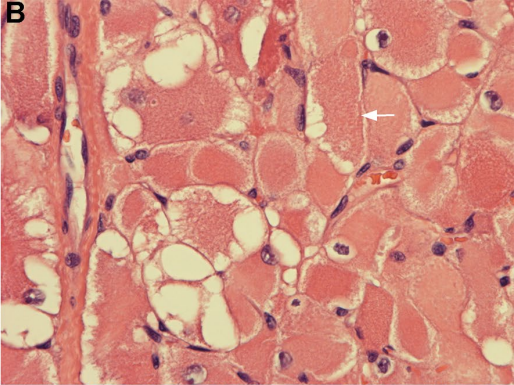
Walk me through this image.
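This shows tumour cells of a rhabdomyoma: large polygonal cells with abundant pink, finely granular cytoplasm. Many cells carry clear vacuoles, mostly toward their edges, so that the pink cytoplasm is pulled into strands between empty spaces. In some cells the cytoplasm shows fine regular cross-banding. Along the left edge runs a thin strand of pink connective tissue with elongated dark nuclei between the cells.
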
